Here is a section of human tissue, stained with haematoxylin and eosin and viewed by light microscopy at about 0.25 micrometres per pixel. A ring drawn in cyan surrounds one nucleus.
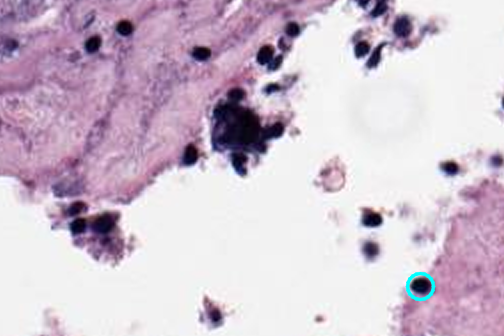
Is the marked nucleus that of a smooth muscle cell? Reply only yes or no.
no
